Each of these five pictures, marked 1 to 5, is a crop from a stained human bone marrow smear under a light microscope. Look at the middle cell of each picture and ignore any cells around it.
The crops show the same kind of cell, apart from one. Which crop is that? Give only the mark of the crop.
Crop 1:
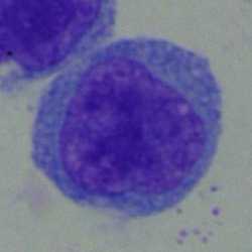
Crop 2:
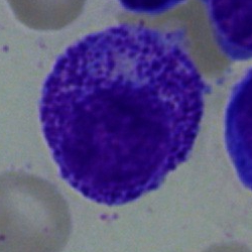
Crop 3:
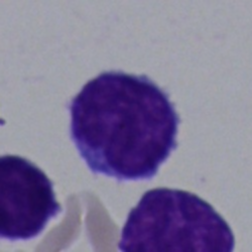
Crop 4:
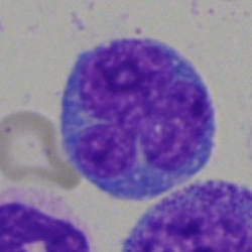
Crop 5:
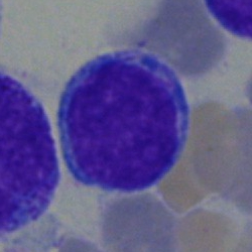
2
